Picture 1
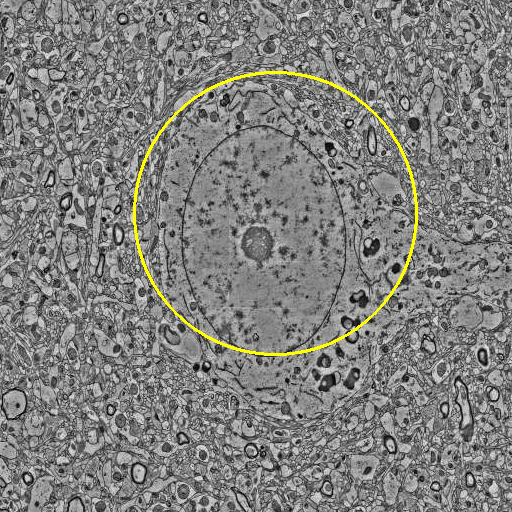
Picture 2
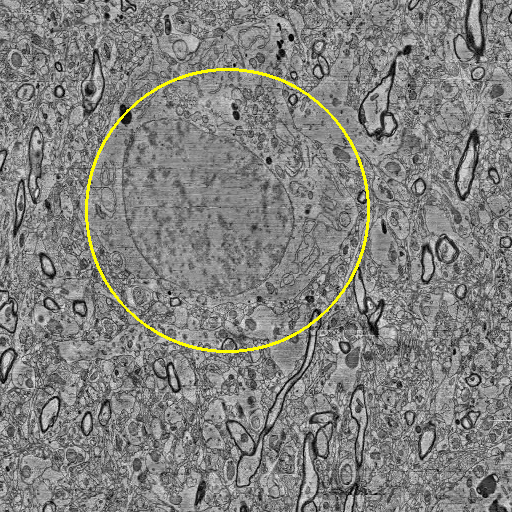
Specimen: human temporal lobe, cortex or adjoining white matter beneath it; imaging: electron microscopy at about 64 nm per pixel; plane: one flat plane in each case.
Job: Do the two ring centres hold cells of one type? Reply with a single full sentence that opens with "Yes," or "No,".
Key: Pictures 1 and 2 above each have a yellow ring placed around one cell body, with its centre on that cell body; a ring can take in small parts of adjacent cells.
No, the cells at the two ring centres are of two separate types.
